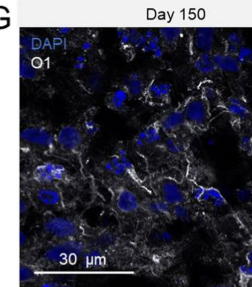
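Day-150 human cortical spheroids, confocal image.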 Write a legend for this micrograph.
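Fine, thread-like white processes wind between the nuclei and outline parts of the cells. In places the white signal gathers into short, branching strands close to the nuclei. The nuclei vary in size and shape, from round to oval, and some look brighter and more compact than others.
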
